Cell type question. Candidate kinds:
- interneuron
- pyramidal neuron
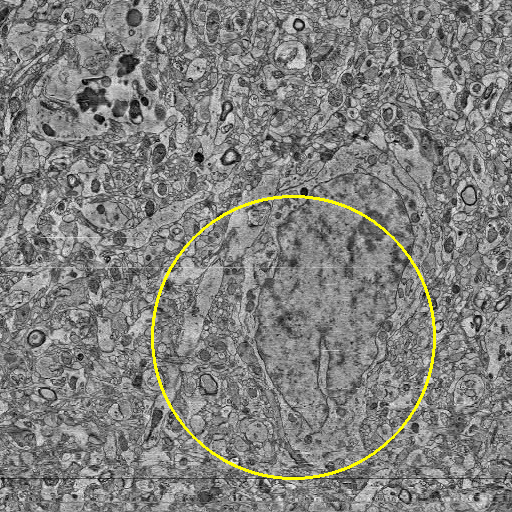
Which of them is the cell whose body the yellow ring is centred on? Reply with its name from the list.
interneuron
